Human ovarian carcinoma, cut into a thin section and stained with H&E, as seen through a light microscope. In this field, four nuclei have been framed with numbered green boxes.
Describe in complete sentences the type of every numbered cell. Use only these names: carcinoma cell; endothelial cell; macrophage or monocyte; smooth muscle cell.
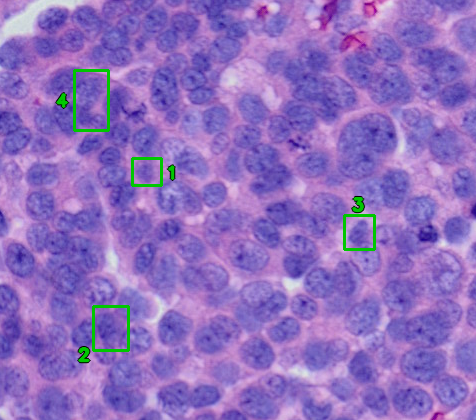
Cells 1, 2 and 4 are carcinoma cells. Cell 3 is a macrophage or monocyte.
